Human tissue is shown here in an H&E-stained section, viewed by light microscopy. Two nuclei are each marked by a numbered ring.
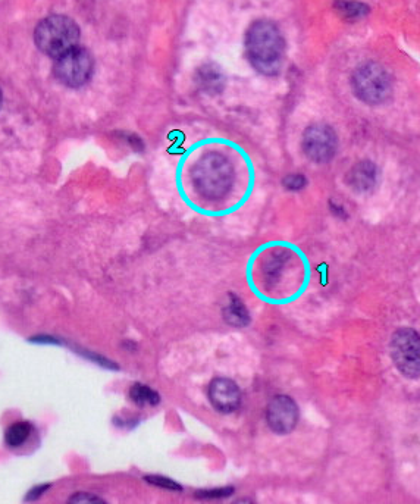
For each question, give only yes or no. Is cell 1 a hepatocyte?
no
